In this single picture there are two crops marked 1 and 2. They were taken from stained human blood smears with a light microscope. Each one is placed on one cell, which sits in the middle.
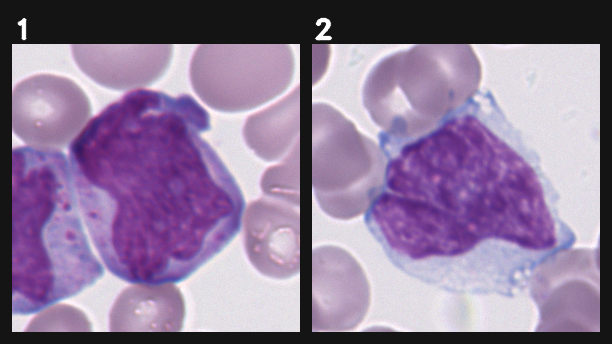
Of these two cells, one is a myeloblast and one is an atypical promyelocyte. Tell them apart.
1: atypical promyelocyte
2: myeloblast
